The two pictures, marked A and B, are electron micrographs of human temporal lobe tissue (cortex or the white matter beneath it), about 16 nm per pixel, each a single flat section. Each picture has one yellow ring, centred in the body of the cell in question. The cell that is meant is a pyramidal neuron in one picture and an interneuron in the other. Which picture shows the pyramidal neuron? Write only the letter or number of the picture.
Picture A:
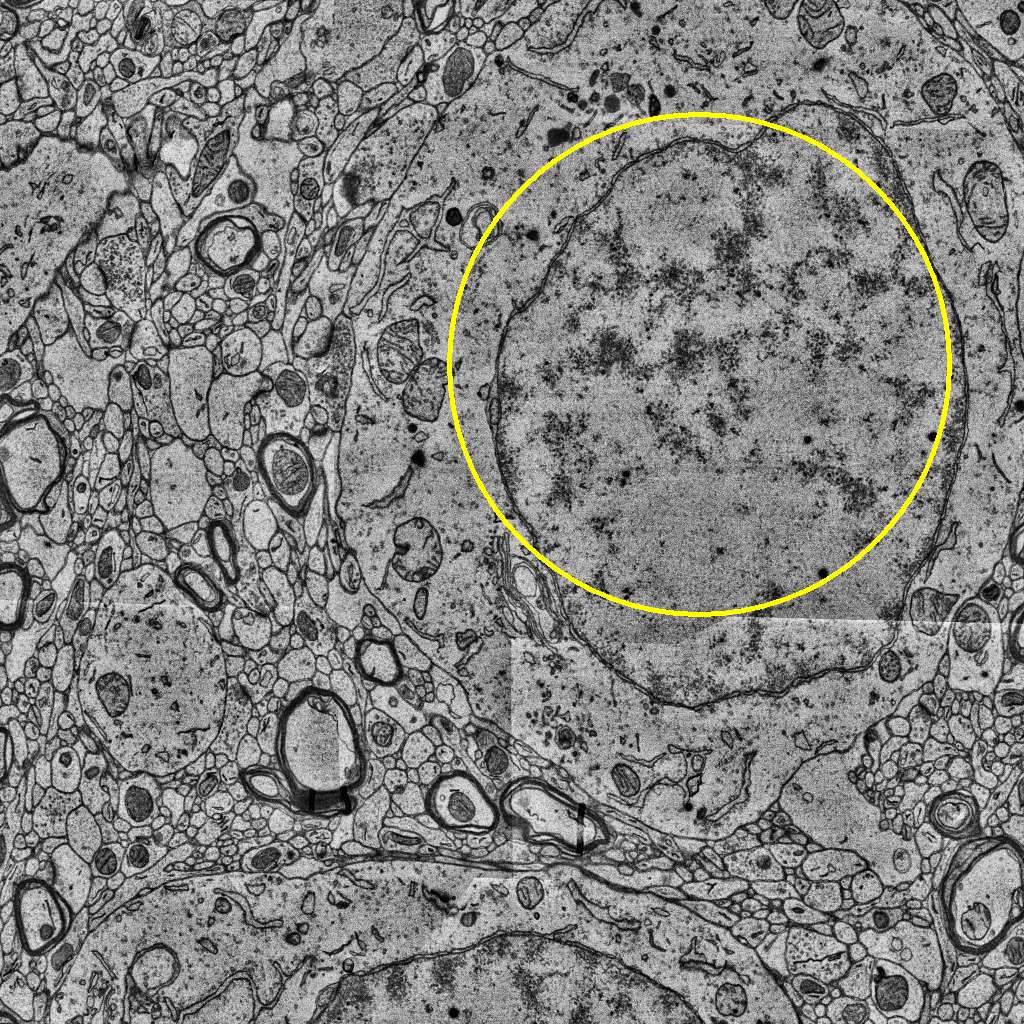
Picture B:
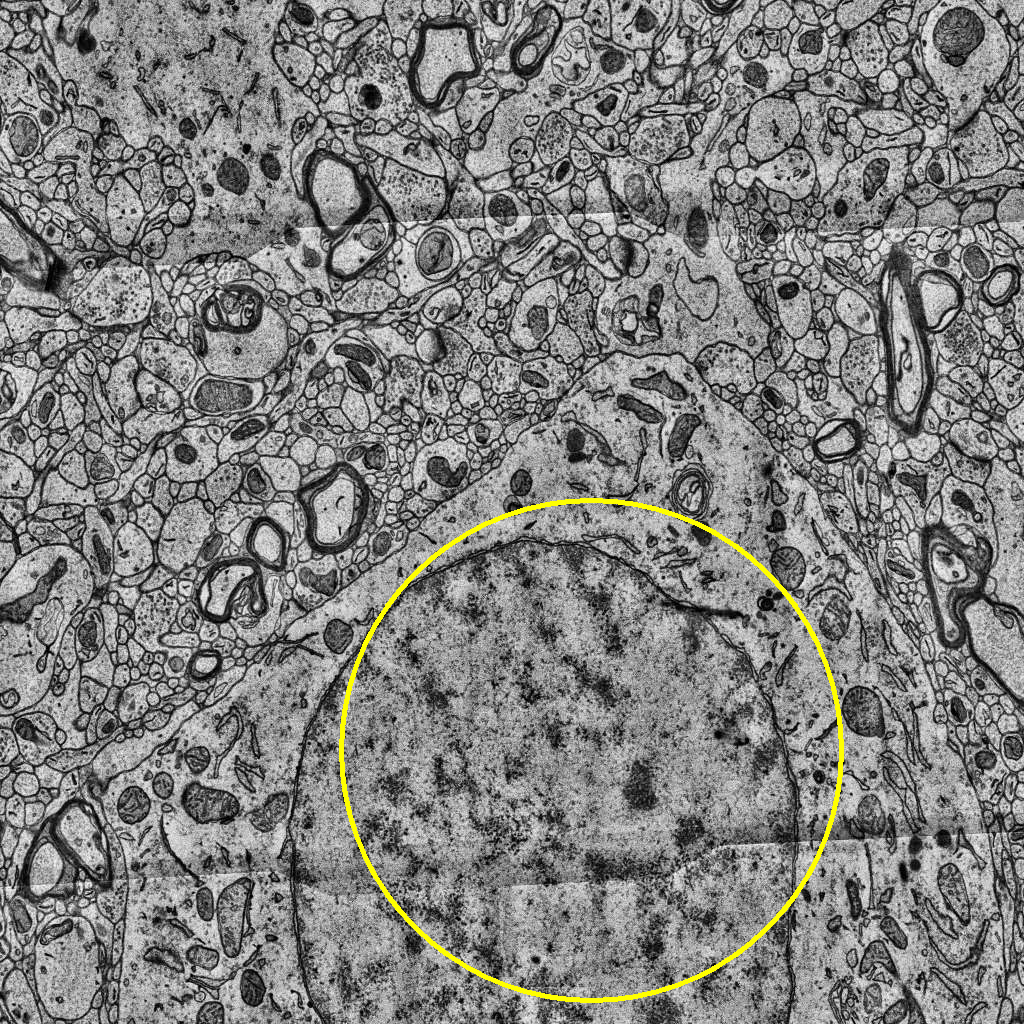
A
